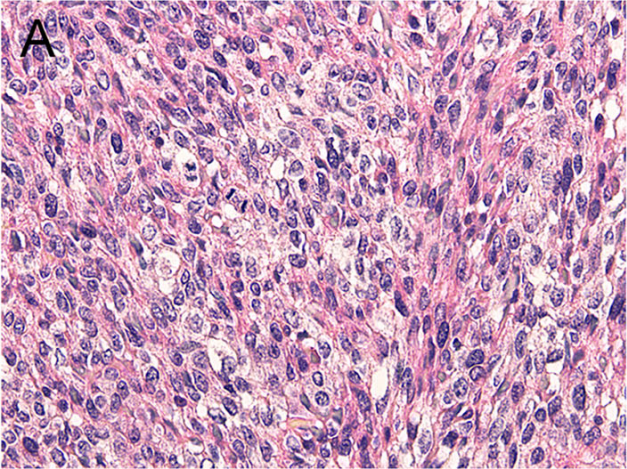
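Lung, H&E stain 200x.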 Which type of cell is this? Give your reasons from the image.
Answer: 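Cells are arranged in streaming, sweeping bundles.
Hence: spindle cell.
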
